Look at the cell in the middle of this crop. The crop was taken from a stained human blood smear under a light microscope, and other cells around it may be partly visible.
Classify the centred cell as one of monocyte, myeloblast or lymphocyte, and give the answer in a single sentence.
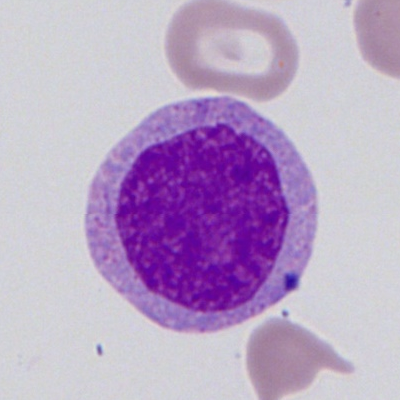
The crop's centre is taken up by a myeloblast.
